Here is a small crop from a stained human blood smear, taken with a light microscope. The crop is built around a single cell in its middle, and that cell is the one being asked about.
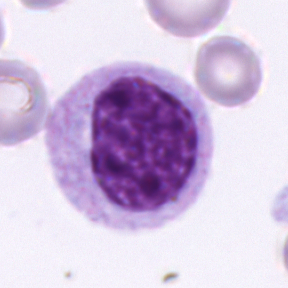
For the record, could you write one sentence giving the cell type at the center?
The cell of interest, located centrally, is a myelocyte.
